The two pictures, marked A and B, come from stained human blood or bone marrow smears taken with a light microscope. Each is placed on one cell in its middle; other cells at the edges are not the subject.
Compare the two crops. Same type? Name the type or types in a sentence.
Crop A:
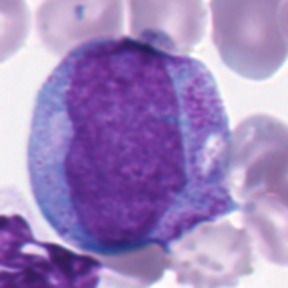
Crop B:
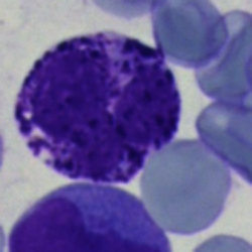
No, a basophil is the cell in crop B, and crop A contains a promyelocyte.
